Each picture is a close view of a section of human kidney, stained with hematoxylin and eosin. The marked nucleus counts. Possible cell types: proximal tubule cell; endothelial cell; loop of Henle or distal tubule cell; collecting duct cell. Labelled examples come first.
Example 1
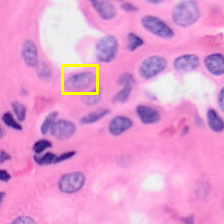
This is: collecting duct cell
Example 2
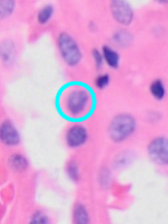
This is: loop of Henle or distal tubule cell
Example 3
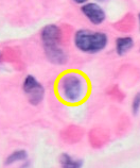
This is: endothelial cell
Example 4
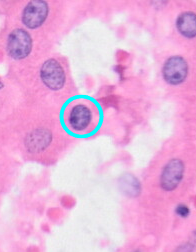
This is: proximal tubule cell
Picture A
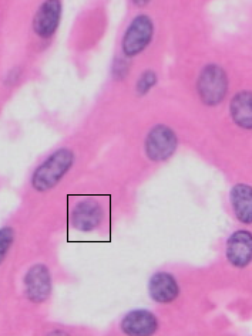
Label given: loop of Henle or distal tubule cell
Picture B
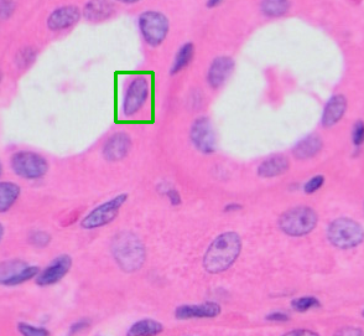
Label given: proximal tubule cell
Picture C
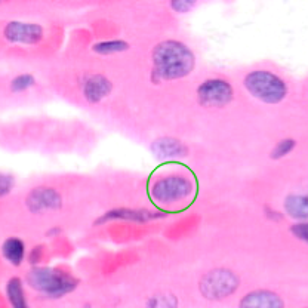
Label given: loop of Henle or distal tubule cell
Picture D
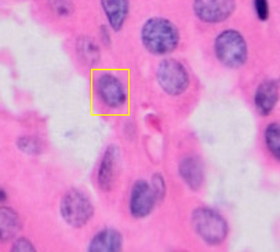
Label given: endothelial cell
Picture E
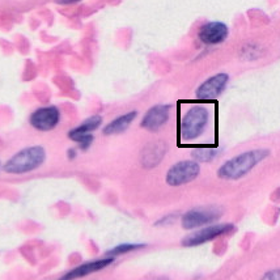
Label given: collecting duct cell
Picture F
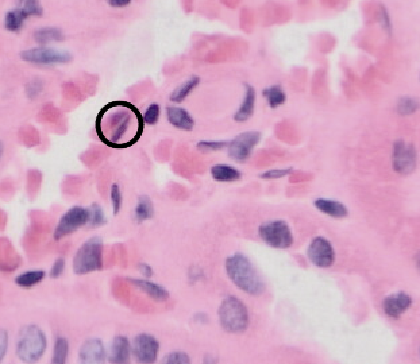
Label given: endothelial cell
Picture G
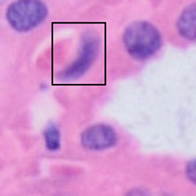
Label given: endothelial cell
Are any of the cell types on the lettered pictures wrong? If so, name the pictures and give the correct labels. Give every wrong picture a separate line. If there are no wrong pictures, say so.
Wrong: B (proximal tubule cell); correct: loop of Henle or distal tubule cell
Wrong: D (endothelial cell); correct: loop of Henle or distal tubule cell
